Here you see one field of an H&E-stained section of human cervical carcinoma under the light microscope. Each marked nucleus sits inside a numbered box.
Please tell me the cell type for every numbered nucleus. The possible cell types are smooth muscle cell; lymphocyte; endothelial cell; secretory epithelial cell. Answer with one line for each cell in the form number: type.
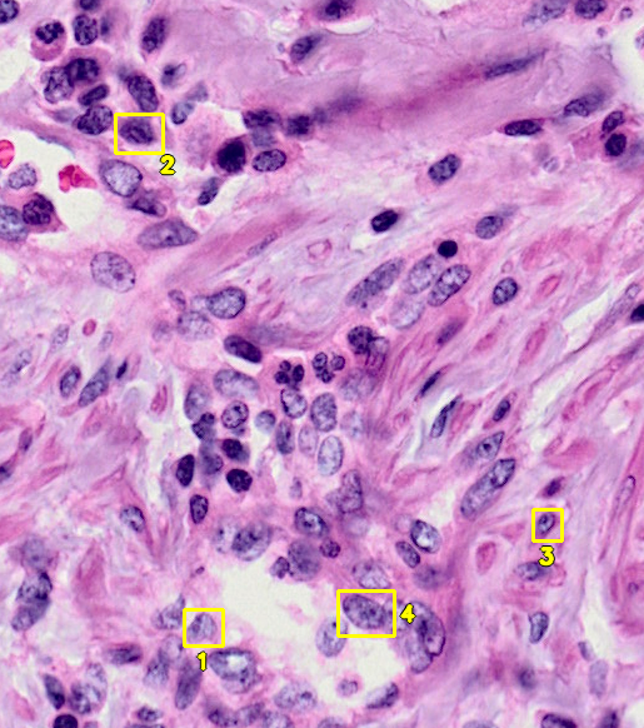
1: endothelial cell
2: lymphocyte
3: smooth muscle cell
4: endothelial cell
